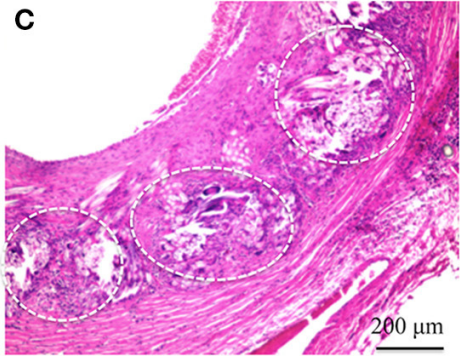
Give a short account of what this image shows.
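Several rounded islands of pale, streaky fiber bundles sit within a band of pink fibrous tissue. Inside these islands, purple nuclei lie scattered among the pale fiber profiles. Around the islands, the tissue is pink and contains many elongated, spindle-shaped nuclei running parallel to the band. Toward the edges of the field, the pink tissue forms wavy, layered strands.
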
